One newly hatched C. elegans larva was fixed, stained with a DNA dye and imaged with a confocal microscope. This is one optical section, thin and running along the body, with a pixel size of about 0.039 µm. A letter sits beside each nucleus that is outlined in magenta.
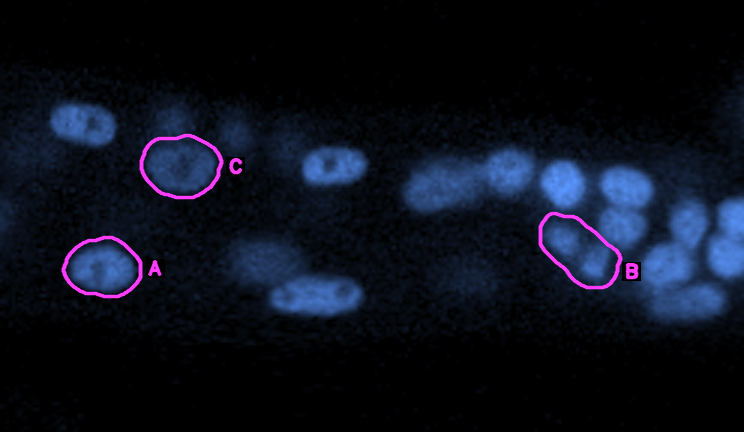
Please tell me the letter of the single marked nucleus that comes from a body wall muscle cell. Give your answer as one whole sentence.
Of the marked nuclei, A is the one in a body wall muscle cell.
